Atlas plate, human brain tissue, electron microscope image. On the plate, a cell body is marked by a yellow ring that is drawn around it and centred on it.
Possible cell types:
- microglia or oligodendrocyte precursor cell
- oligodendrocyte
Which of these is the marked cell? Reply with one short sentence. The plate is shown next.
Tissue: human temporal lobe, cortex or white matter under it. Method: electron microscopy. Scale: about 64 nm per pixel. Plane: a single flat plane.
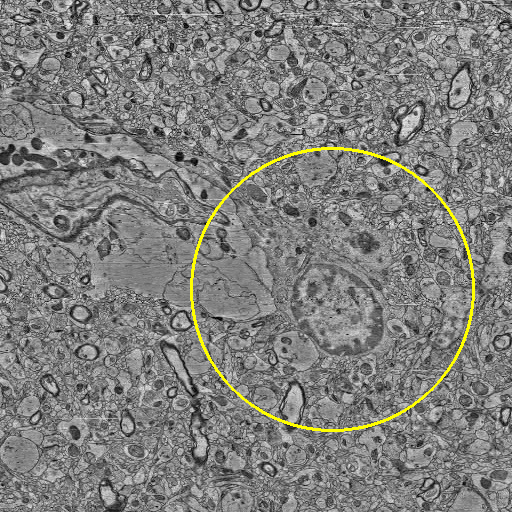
The marked cell is an oligodendrocyte.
